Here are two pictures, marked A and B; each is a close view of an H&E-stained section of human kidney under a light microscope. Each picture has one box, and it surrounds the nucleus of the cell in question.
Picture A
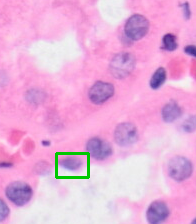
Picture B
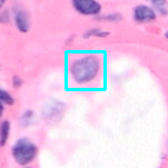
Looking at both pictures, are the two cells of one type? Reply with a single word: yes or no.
yes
